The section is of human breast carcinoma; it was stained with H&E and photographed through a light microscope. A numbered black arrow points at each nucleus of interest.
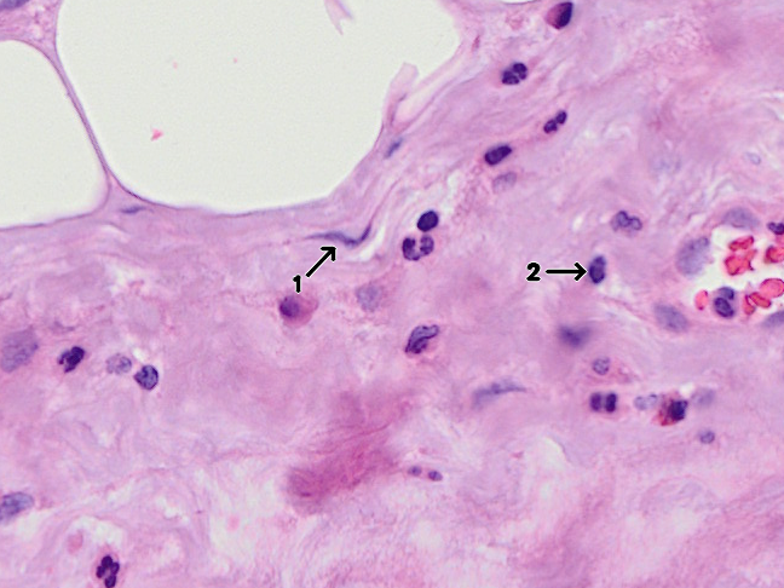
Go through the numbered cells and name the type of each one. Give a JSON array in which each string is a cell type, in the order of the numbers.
["fibroblast", "lymphocyte"]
